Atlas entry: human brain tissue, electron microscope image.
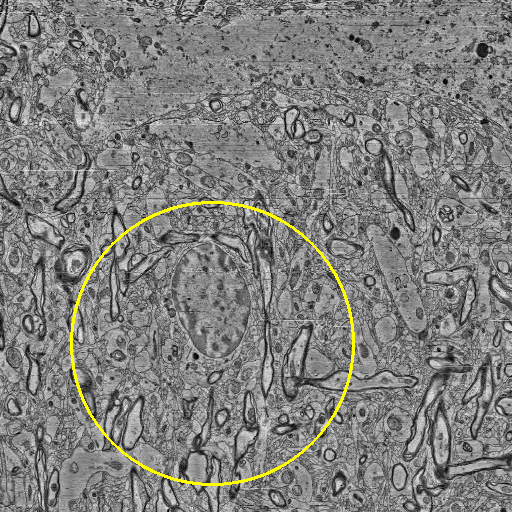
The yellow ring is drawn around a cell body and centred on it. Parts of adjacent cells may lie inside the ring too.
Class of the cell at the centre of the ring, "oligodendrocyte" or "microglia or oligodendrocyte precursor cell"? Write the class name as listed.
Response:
microglia or oligodendrocyte precursor cell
